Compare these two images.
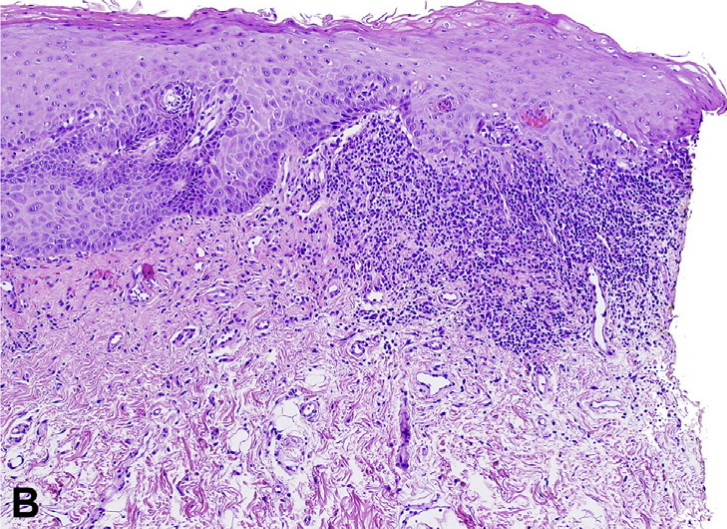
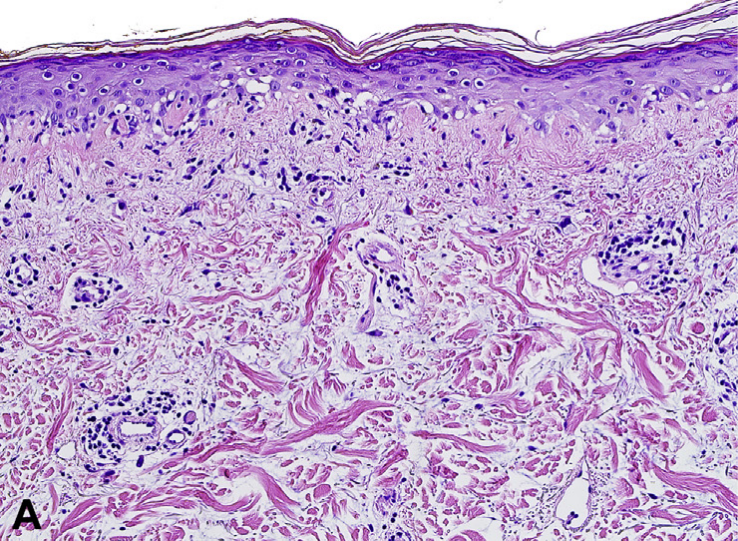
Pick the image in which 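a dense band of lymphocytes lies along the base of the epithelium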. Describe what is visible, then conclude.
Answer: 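The first image. First image: a dense band of dark small cells fills the zone under the epithelium. Second image: only small clusters of lymphocytes around dermal vessels.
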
